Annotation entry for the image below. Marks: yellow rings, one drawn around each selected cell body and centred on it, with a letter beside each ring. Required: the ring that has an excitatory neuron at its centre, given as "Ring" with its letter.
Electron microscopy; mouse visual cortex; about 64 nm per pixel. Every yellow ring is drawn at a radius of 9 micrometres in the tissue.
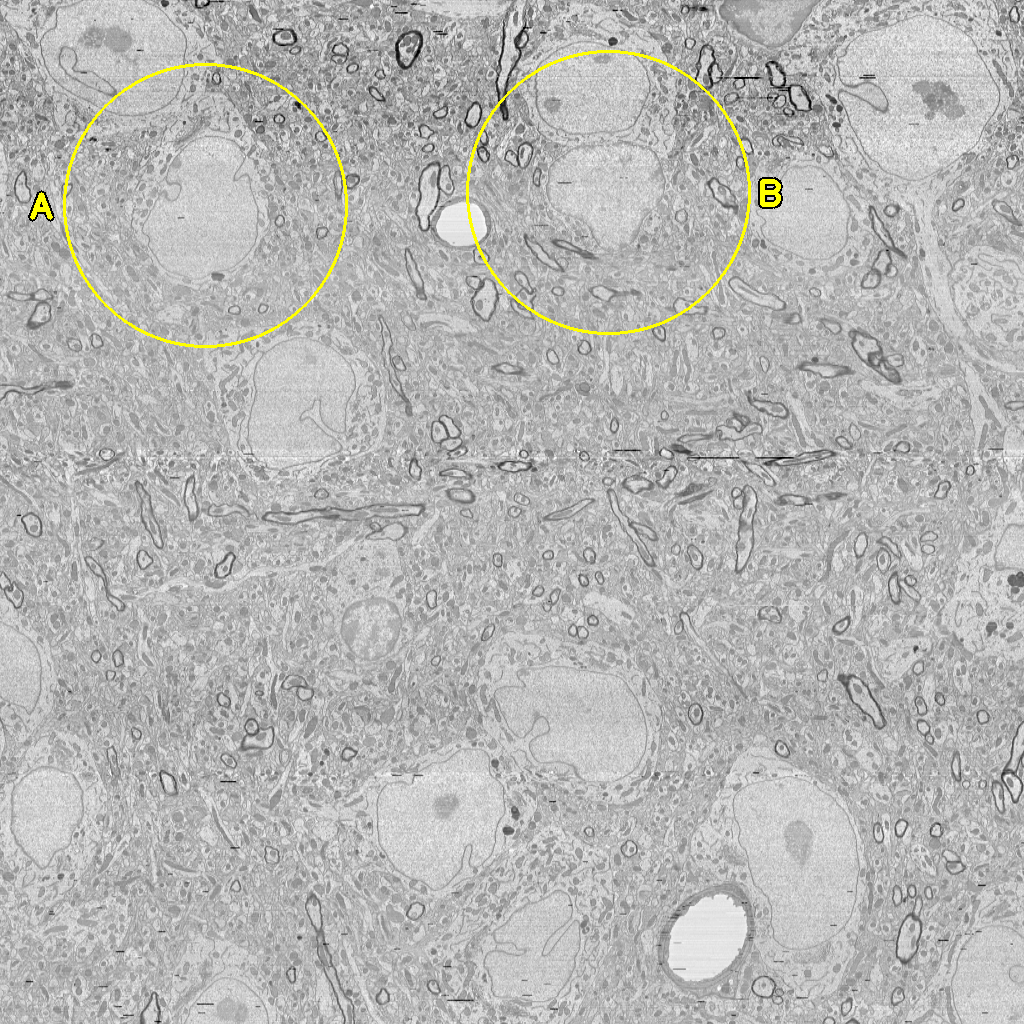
Ring A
